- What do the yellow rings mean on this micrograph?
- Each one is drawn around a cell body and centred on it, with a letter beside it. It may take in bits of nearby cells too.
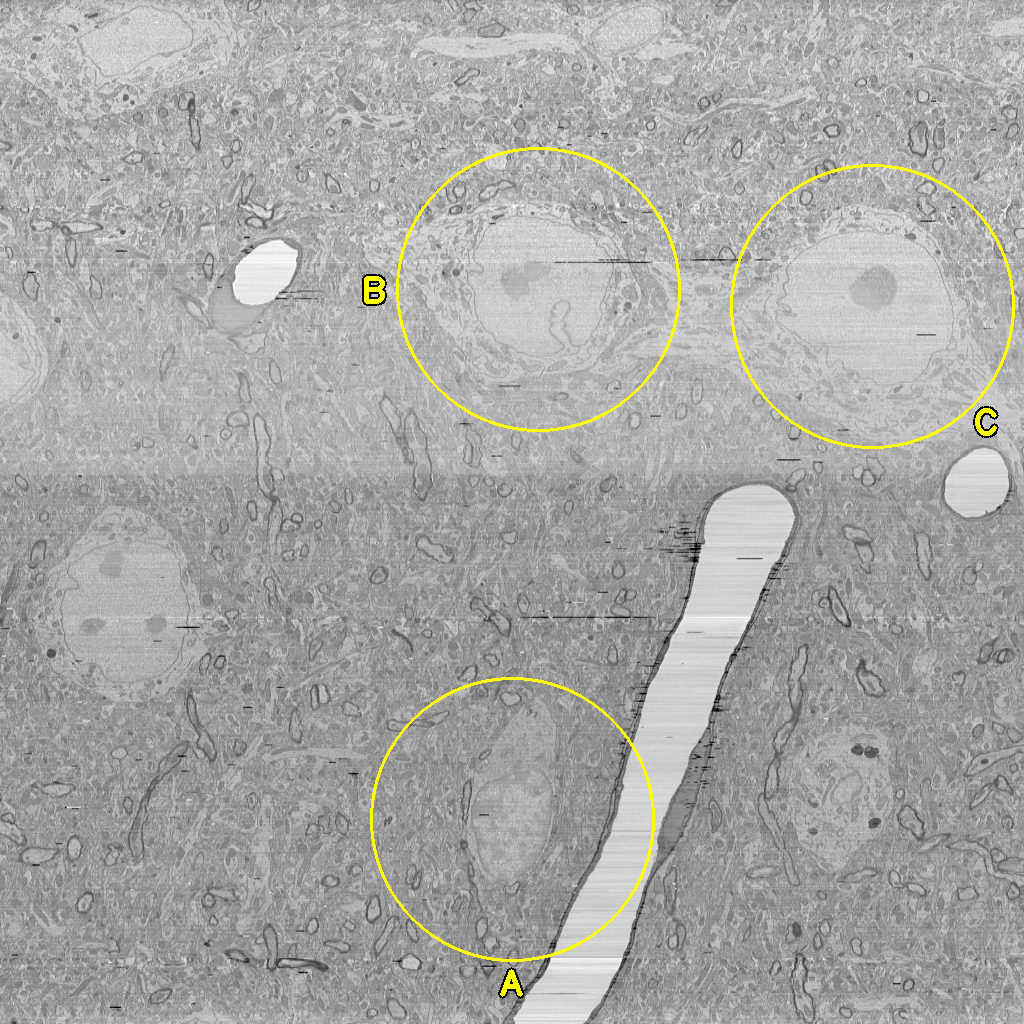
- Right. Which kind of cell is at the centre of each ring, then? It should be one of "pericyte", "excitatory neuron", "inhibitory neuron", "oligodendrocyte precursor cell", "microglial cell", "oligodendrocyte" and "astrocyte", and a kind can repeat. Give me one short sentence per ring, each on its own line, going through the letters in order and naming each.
Ring A circles the cell body of an oligodendrocyte.
Ring B circles the cell body of an inhibitory neuron.
Ring C circles the cell body of an excitatory neuron.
